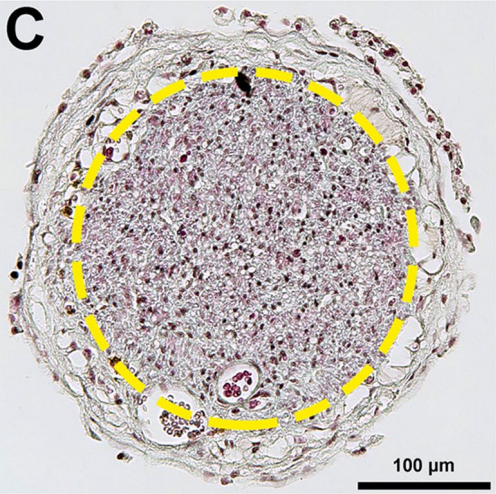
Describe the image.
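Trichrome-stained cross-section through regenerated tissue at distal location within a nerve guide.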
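The core is packed with small cells and fine pale fibres, among which many small round cells stained reddish purple are scattered evenly. Toward the lower edge of the core lie a few small vessels whose lumens contain clustered reddish-purple cells. The outer rim is made of loose, concentrically arranged pale grey fibrous tissue with elongated flattened nuclei and open clear spaces, and a few dark-stained cells lie along the outermost edge. Occasional brown granules are seen at the periphery.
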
